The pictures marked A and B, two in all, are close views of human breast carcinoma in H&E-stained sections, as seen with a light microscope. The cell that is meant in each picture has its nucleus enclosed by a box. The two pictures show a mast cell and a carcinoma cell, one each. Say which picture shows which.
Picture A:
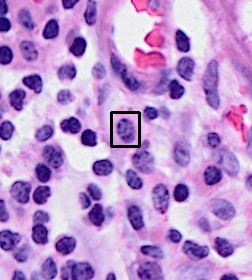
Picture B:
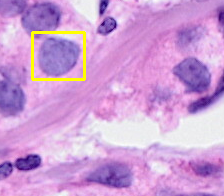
A: mast cell
B: carcinoma cell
